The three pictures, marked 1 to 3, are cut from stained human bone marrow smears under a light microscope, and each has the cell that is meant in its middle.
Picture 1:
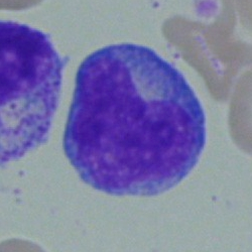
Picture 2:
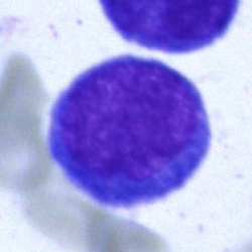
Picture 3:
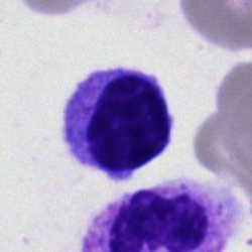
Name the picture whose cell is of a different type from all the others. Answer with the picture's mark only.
3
